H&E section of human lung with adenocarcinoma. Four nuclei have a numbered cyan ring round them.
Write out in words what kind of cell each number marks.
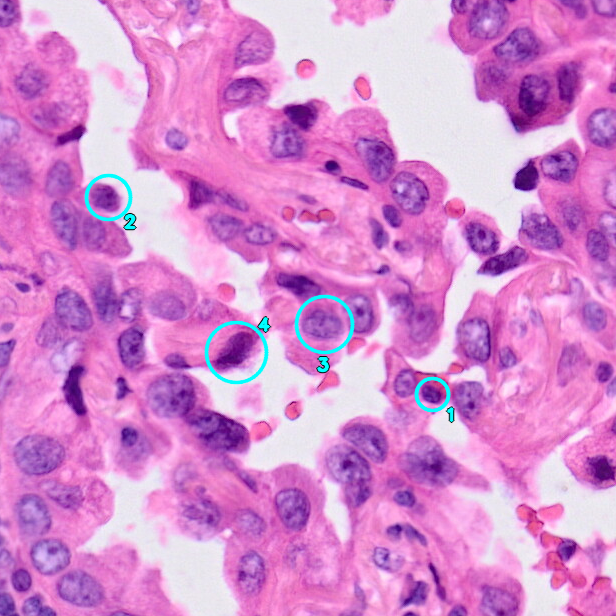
Cell 1 is a lymphocyte. Cells 2, 3 and 4 are carcinoma cells.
